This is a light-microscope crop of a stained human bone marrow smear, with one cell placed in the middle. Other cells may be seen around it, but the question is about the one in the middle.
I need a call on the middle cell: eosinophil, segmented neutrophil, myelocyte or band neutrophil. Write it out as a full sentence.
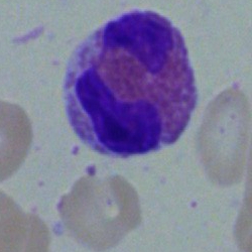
Classified as an eosinophil is the cell in the middle of this crop.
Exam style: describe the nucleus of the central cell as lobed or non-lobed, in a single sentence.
Nuclear material here is separated into two or more segments.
